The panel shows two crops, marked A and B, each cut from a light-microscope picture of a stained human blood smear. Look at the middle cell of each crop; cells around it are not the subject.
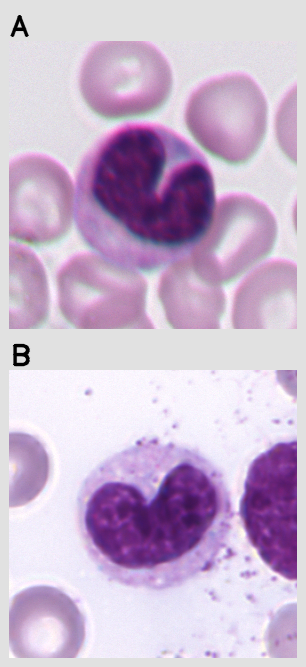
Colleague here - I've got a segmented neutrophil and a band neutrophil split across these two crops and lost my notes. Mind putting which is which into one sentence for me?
Crop A should be reported as a segmented neutrophil, and crop B as a band neutrophil.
